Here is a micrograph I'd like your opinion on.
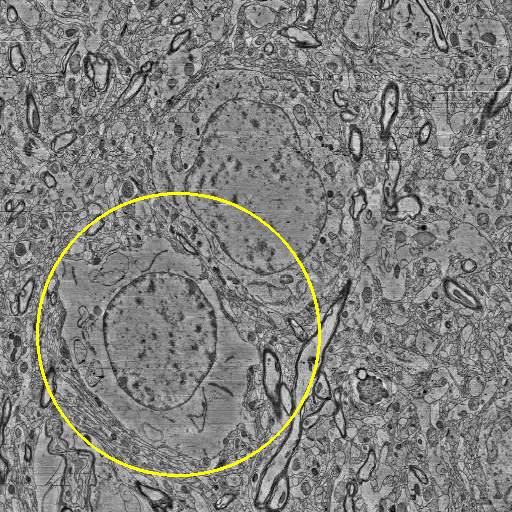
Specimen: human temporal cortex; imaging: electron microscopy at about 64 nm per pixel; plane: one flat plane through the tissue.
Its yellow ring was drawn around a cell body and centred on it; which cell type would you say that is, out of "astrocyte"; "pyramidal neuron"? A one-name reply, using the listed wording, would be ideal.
astrocyte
